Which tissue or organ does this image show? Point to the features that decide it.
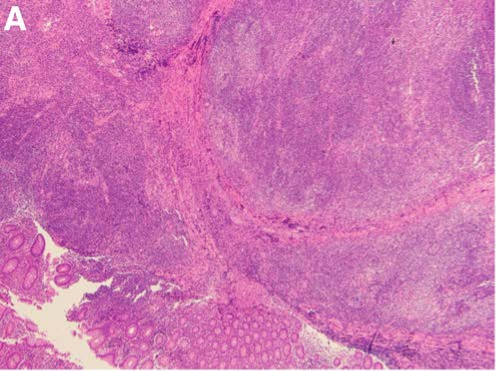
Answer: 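A mucosal surface faces an empty lumen at the lower left.
Answer: colon tissue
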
